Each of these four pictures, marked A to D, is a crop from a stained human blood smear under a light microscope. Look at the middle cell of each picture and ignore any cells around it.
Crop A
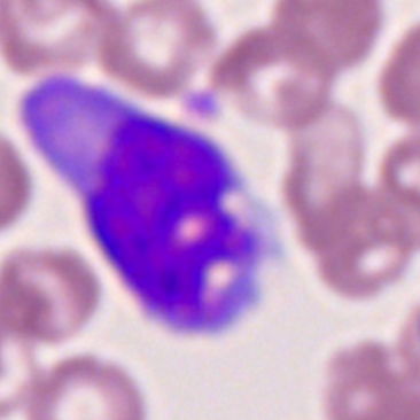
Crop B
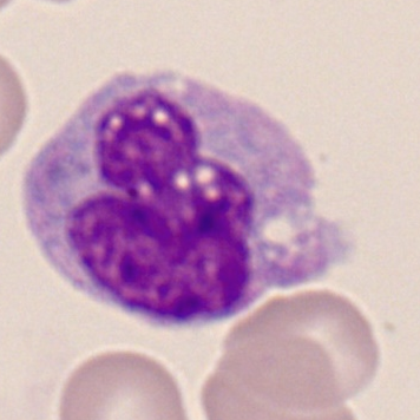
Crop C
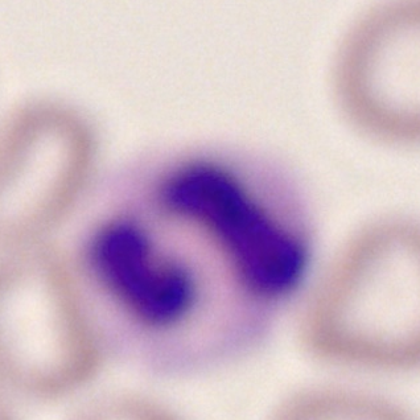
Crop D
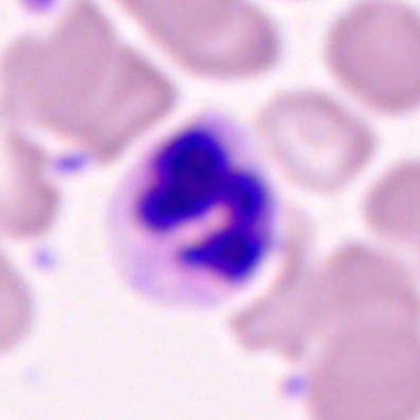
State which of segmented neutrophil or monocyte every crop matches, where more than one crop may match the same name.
A: monocyte
B: monocyte
C: segmented neutrophil
D: segmented neutrophil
